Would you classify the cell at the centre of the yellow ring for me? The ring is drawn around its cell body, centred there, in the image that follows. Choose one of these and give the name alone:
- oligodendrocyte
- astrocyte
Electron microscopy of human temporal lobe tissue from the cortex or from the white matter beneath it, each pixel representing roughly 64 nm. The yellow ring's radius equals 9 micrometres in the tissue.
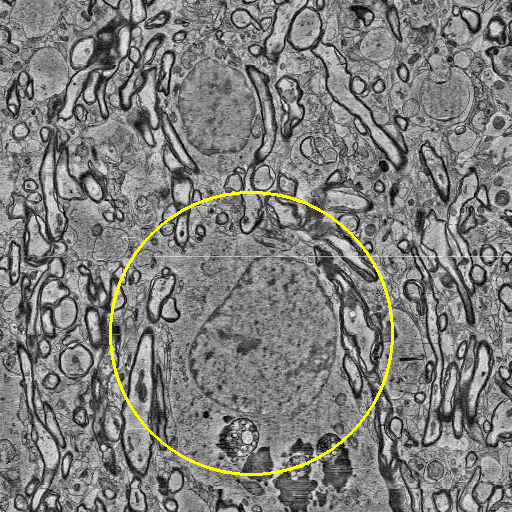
astrocyte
